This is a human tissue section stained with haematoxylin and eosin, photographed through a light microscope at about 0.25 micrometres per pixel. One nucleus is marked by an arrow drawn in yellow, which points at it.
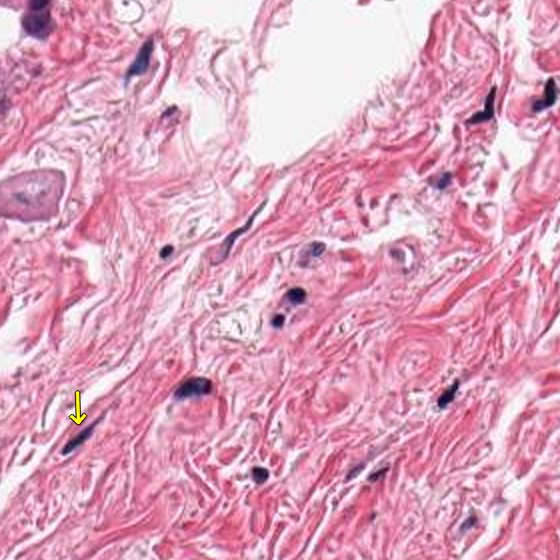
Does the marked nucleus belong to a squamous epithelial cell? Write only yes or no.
no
